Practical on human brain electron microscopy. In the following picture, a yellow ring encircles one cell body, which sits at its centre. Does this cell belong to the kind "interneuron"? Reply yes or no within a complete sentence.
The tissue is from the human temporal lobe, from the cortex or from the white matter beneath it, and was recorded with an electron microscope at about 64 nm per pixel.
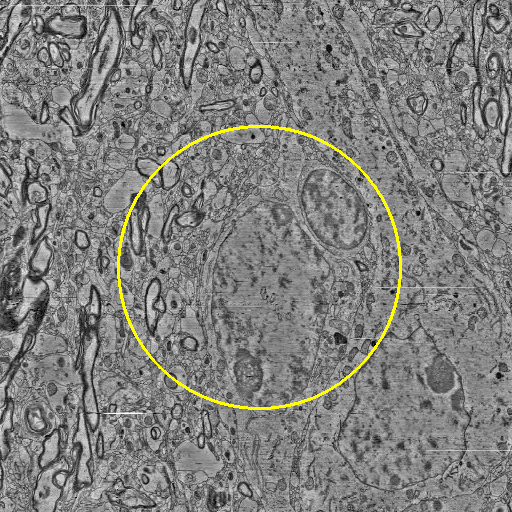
Yes, the one cell at the centre of the ring here is of that kind.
